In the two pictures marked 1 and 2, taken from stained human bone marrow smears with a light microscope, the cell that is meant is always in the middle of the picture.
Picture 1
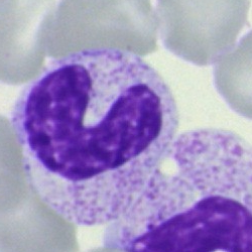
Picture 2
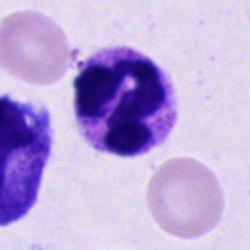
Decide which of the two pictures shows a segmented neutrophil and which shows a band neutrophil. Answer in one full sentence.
Picture 1 shows a band neutrophil and picture 2 shows a segmented neutrophil.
